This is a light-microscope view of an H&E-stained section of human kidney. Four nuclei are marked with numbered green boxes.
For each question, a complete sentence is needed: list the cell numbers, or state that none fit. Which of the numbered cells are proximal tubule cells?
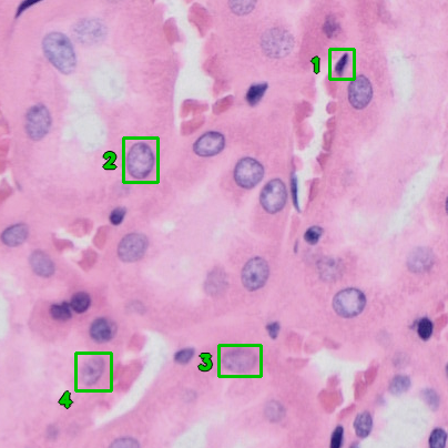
The cells that the numbers 2, 3 and 4 belong to are proximal tubule cells.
